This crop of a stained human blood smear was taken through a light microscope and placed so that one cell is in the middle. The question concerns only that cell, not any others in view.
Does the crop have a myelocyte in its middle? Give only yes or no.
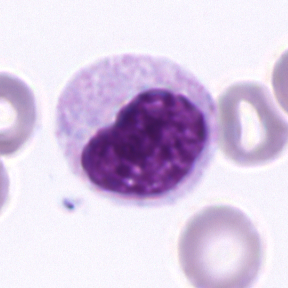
no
